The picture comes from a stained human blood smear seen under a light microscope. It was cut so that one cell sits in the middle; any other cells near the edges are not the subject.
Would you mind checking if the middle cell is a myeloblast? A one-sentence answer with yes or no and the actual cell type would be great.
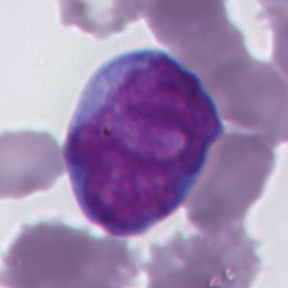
Yes, it is a myeloblast that lies in the middle.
